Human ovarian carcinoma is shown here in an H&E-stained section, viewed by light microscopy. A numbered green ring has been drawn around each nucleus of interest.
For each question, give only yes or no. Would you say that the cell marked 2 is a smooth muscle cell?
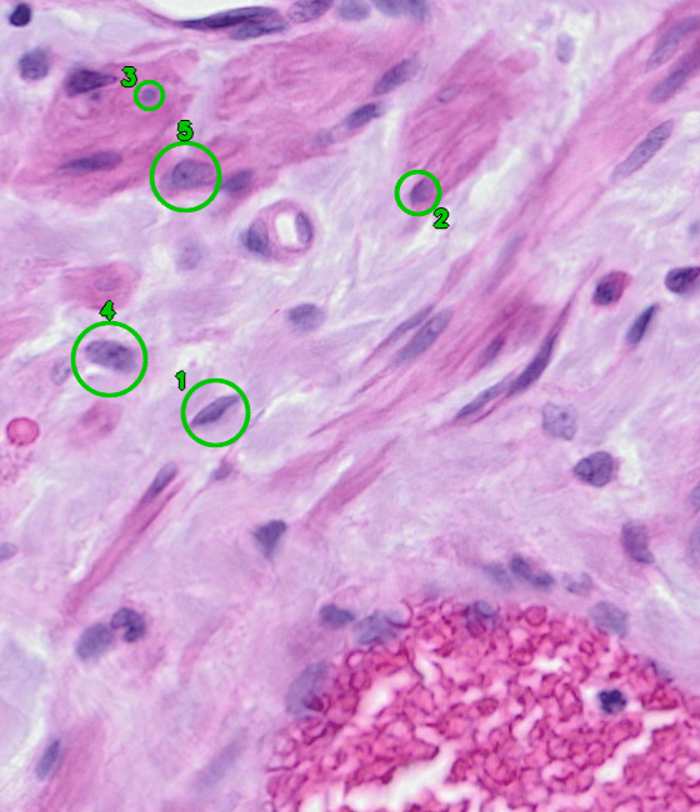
yes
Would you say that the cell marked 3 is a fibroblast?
no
